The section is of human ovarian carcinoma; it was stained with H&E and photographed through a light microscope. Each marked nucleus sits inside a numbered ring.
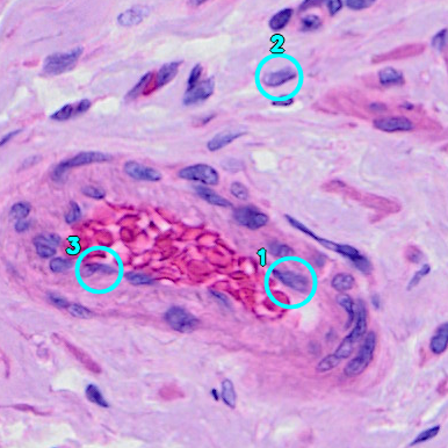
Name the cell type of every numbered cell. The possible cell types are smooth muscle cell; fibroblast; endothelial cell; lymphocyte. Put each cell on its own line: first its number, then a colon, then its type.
1: endothelial cell
2: fibroblast
3: endothelial cell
